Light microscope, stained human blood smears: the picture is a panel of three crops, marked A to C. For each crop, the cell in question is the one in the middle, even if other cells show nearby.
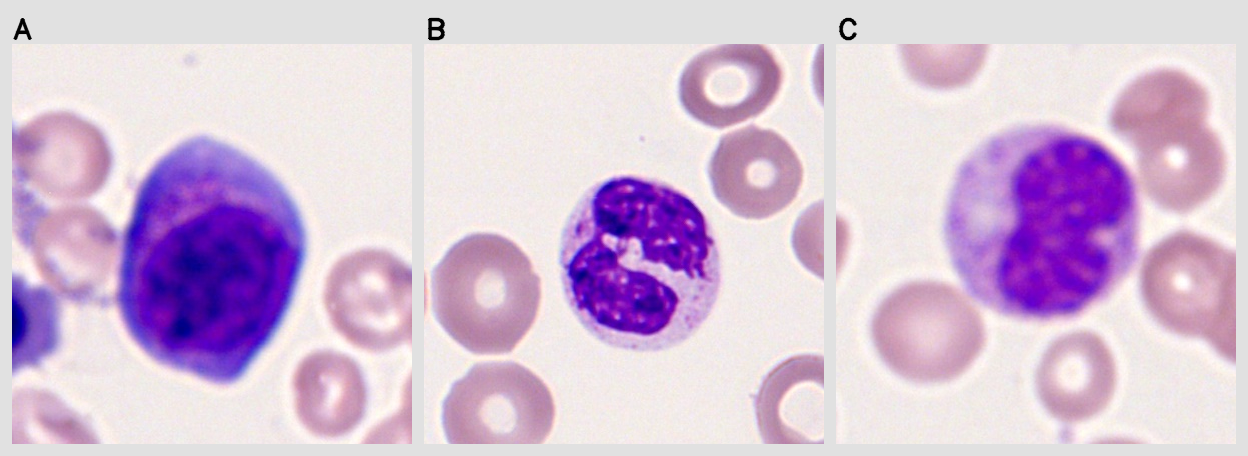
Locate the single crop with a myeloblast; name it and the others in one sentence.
The labels are: crop A is a myeloblast, and crop B is a segmented neutrophil and crop C is a band neutrophil.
